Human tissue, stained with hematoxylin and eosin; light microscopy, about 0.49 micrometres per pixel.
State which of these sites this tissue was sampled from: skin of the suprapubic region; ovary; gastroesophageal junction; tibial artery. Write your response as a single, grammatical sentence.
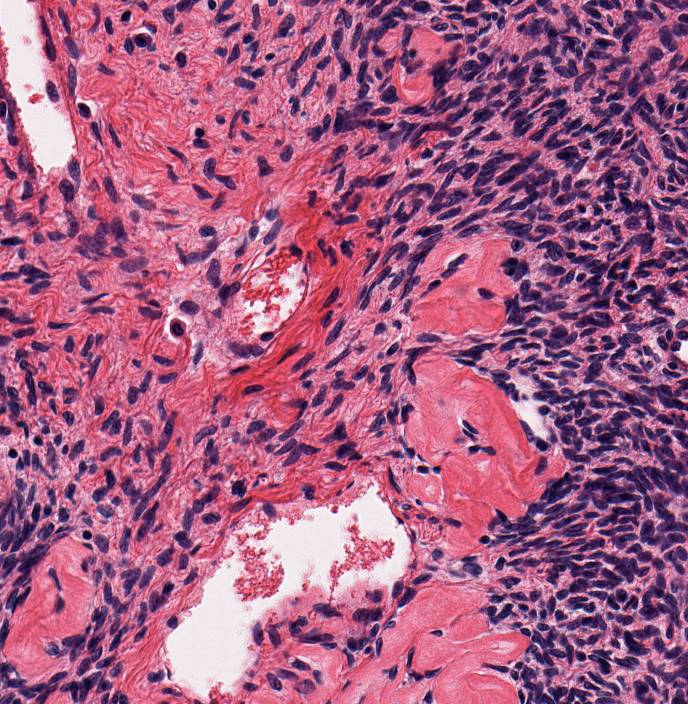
It was the ovary that provided this tissue sample.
